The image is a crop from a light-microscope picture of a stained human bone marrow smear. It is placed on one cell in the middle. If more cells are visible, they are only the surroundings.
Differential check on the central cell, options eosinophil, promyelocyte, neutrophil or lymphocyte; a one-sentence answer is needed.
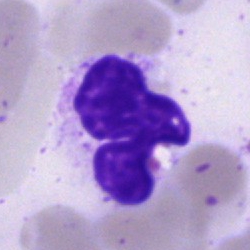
The cell under consideration, at the middle of the crop, is a neutrophil.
